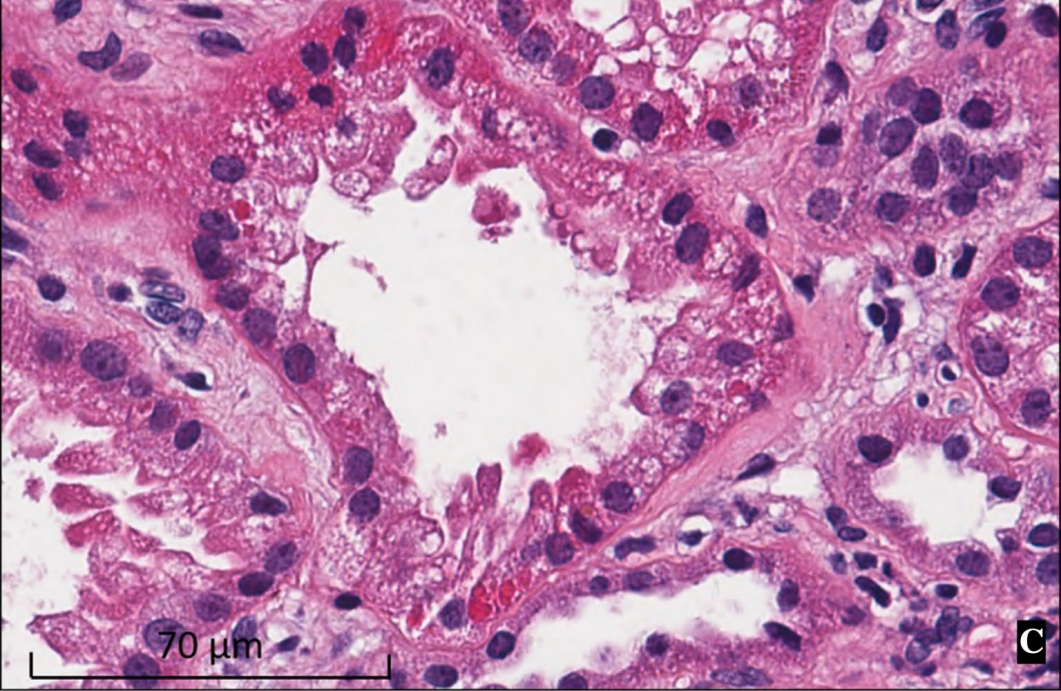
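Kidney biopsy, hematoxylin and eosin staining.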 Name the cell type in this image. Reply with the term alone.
Proximal tubular epithelial cells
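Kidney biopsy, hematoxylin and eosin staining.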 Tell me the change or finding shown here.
eosinophilic intracytoplasmic inclusions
